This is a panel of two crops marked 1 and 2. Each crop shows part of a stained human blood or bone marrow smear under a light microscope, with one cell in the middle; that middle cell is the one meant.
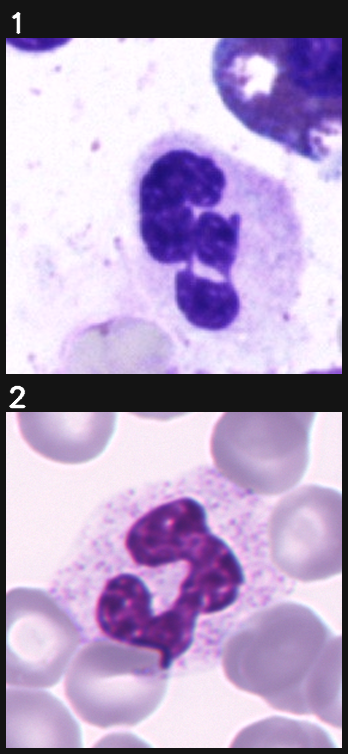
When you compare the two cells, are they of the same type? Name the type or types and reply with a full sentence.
Yes, as shown in both crops, the central cells are segmented neutrophils.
